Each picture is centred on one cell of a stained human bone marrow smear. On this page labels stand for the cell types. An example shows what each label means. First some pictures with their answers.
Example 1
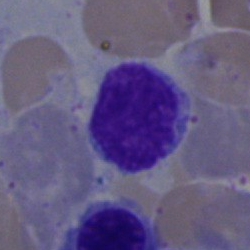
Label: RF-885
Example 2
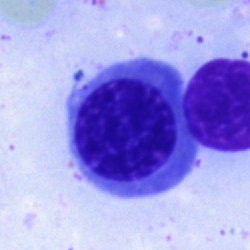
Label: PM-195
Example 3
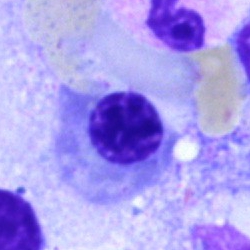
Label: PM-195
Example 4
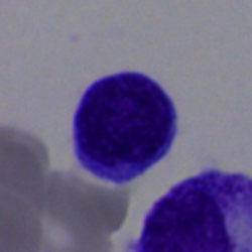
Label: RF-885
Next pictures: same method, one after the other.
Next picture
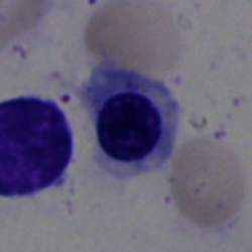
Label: PM-195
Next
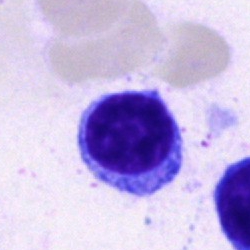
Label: RF-885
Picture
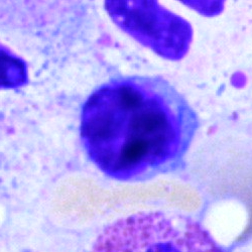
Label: RF-885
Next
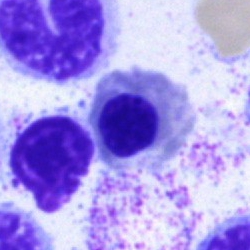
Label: PM-195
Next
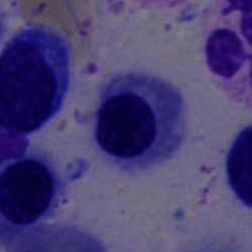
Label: PM-195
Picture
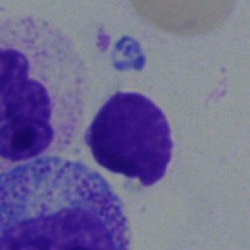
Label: RF-885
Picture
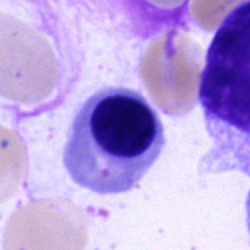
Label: PM-195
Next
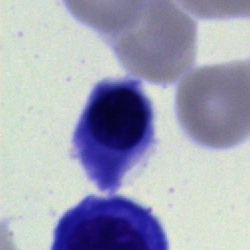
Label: PM-195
